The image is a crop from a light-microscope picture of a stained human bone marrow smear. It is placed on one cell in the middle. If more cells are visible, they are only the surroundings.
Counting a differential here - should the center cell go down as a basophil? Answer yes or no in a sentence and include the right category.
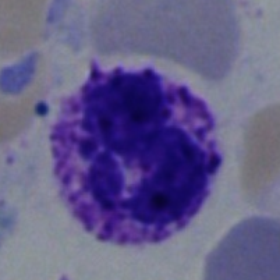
Yes, this is a basophil, the cell in the middle of the crop.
